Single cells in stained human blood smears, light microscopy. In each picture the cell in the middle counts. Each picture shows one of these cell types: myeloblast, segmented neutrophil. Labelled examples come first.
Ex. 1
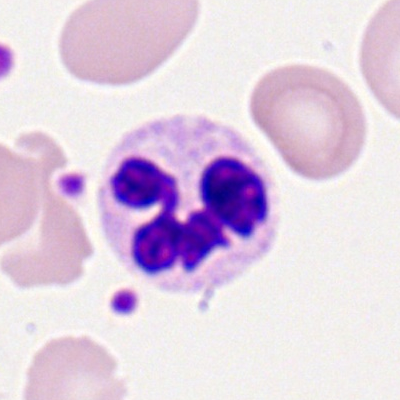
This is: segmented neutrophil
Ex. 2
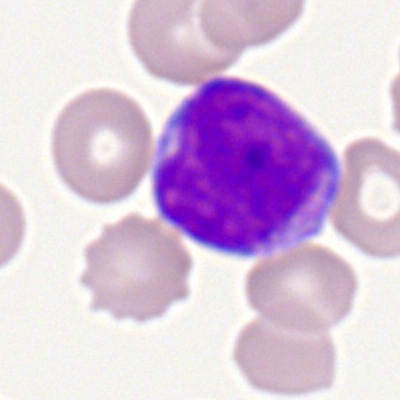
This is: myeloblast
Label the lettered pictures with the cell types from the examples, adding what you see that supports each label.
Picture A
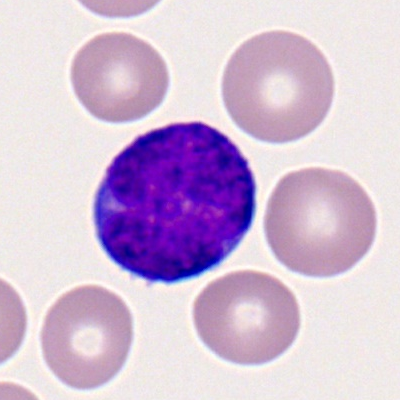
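Answer: myeloblast. The nucleus fills almost the whole cell.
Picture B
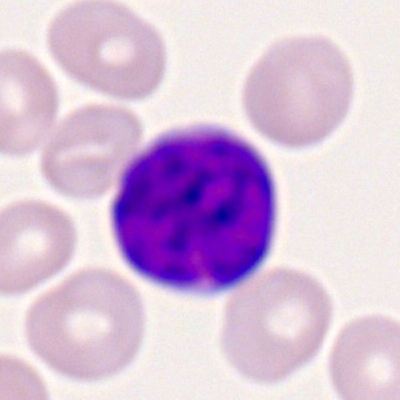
Answer: myeloblast. Cytoplasm is scant, at most a very thin rim around the nucleus.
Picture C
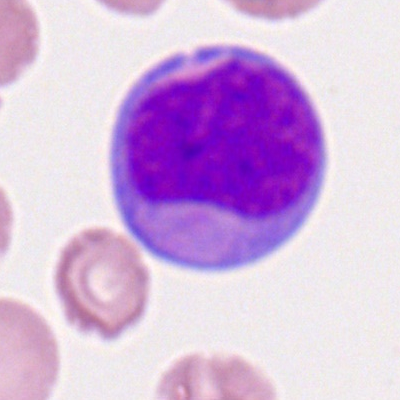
Answer: myeloblast. The nucleus fills most of the cell and lies toward its upper part.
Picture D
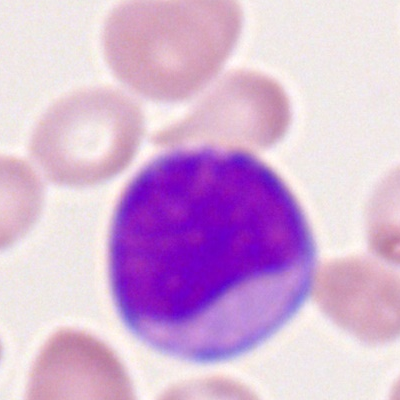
Answer: myeloblast. The nucleus fills most of the cell.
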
